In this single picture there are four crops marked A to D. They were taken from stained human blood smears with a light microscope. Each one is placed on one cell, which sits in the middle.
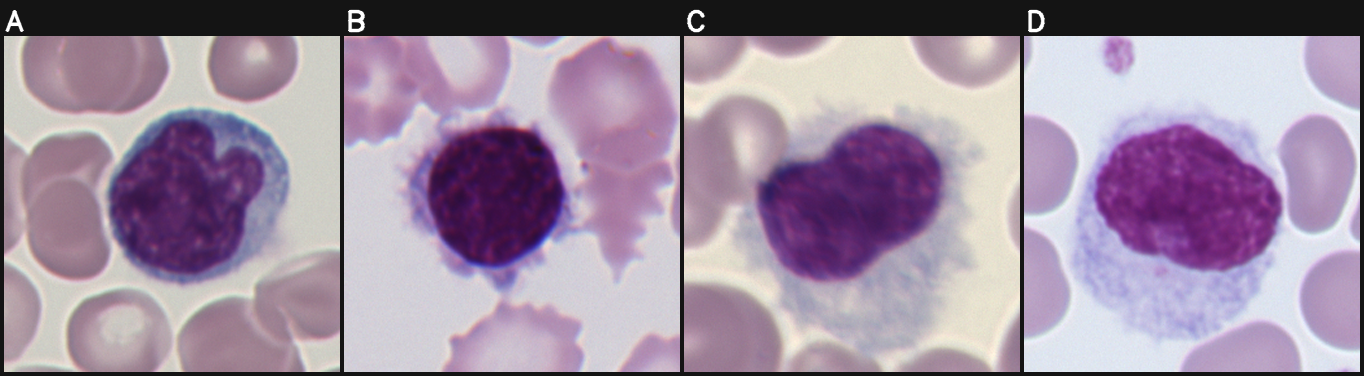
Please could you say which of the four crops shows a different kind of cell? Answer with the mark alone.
A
